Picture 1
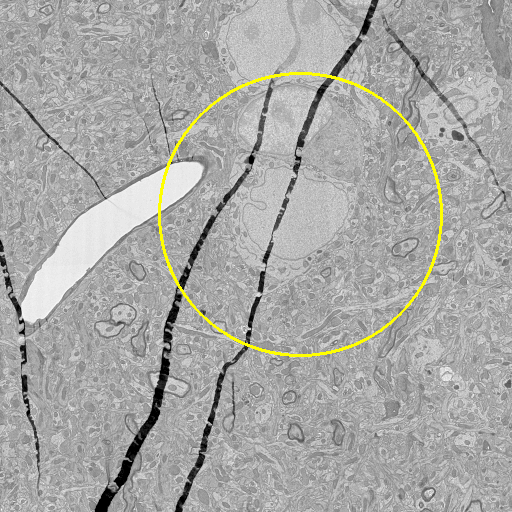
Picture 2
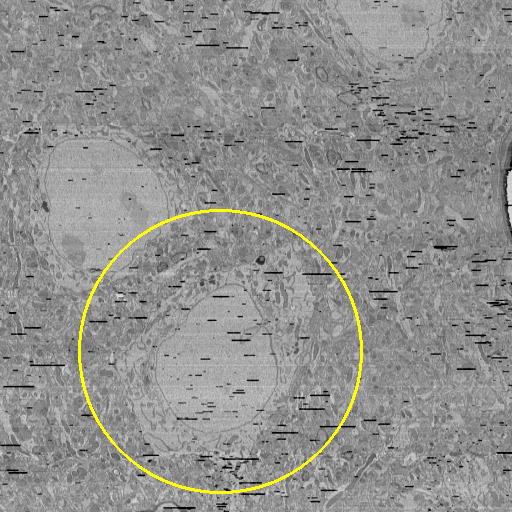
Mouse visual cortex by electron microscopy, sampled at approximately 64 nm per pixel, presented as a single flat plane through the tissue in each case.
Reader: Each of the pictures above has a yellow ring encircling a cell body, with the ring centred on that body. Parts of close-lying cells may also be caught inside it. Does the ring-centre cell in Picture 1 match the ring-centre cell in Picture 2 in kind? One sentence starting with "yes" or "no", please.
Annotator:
Yes, Picture 1 and Picture 2 show ring-centre cells of a single kind.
